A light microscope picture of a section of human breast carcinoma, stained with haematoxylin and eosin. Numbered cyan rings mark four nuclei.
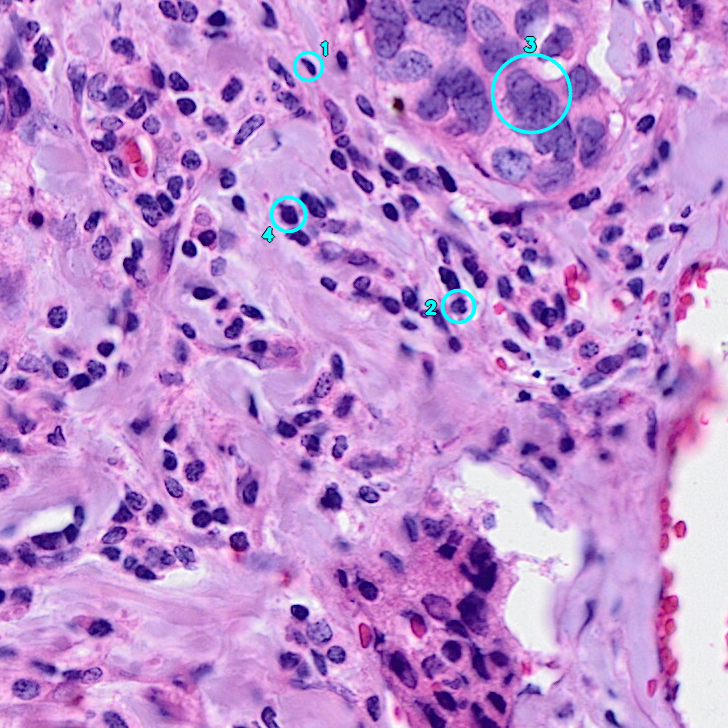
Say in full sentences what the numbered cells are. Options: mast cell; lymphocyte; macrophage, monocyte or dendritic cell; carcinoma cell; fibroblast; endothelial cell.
Cell 1 is a lymphocyte, cell 2 is a lymphocyte, cell 3 is a carcinoma cell and cell 4 is a lymphocyte.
